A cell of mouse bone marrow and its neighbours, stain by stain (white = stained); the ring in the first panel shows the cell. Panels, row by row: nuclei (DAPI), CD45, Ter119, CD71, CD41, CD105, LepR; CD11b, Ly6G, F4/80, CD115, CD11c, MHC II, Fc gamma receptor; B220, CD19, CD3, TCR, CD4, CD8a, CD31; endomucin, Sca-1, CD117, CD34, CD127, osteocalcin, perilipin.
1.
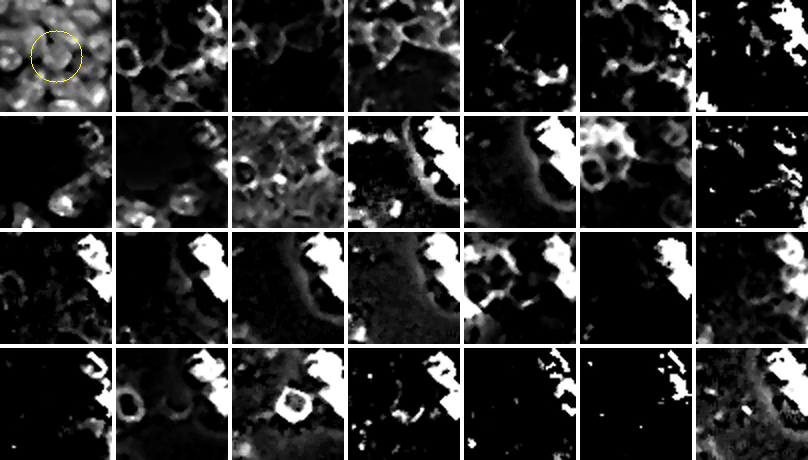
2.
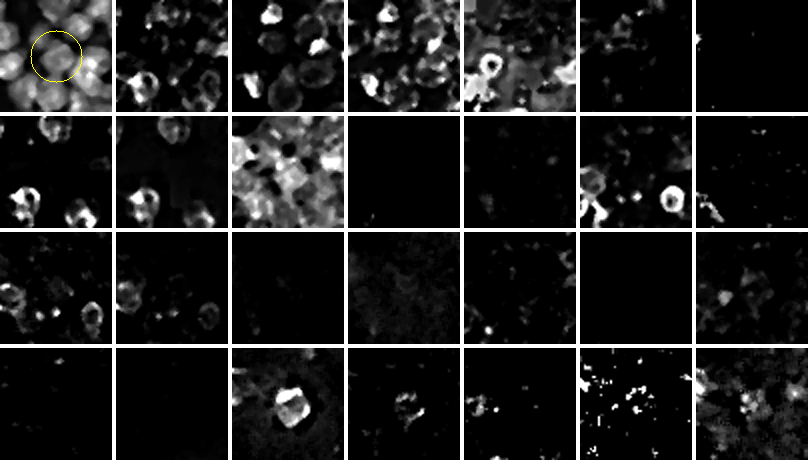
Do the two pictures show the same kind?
Yes, both are megakaryocyte-erythroid progenitors.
